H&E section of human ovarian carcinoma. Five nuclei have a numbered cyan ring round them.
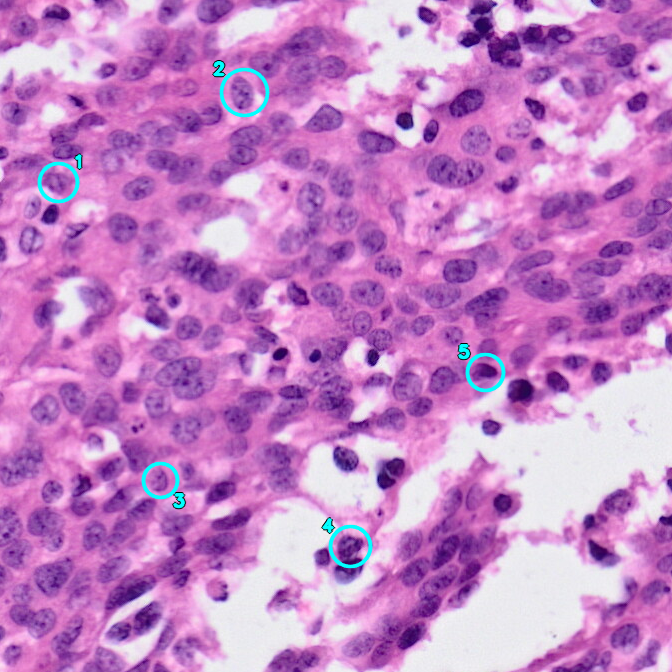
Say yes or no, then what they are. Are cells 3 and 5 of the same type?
No, that does not hold; cell 3 is a macrophage or monocyte and cell 5 is a carcinoma cell.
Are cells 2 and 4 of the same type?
Yes, cells 2 and 4 are two macrophages or monocytes.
